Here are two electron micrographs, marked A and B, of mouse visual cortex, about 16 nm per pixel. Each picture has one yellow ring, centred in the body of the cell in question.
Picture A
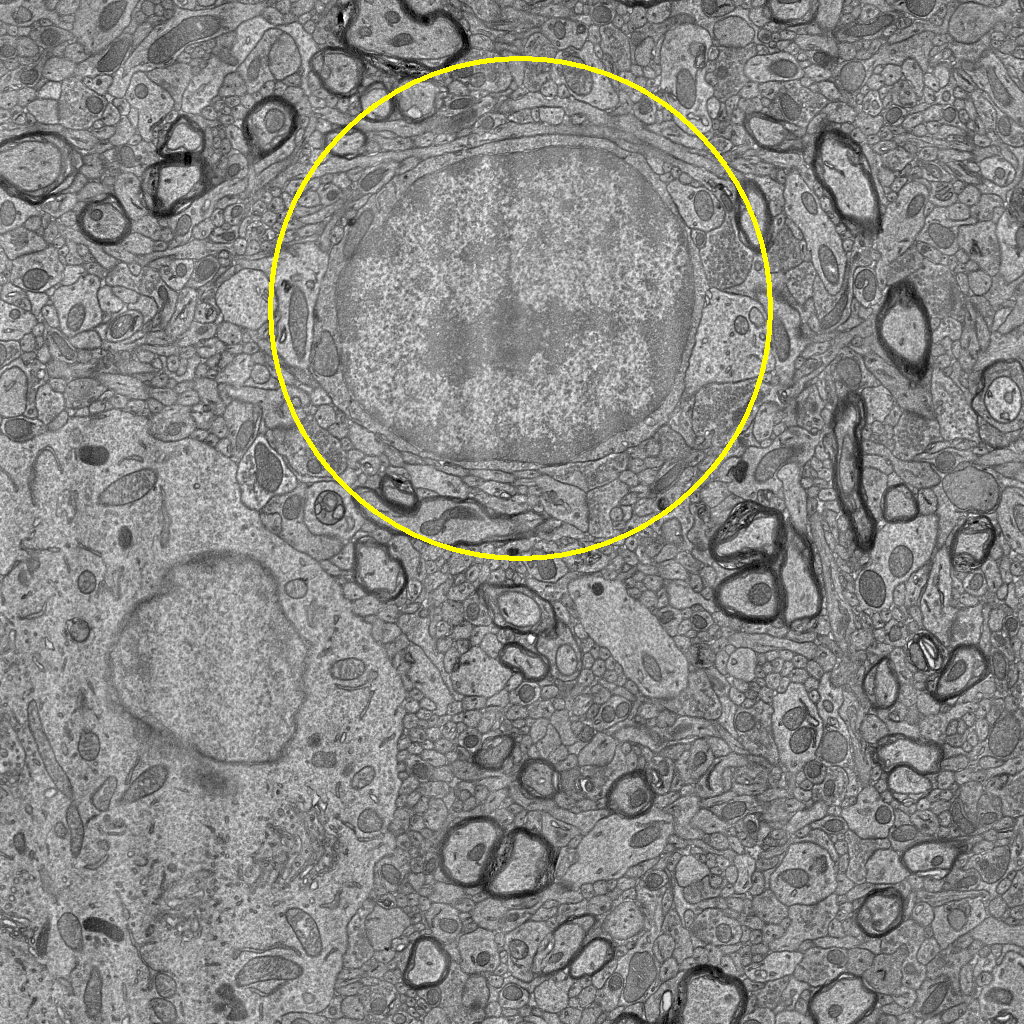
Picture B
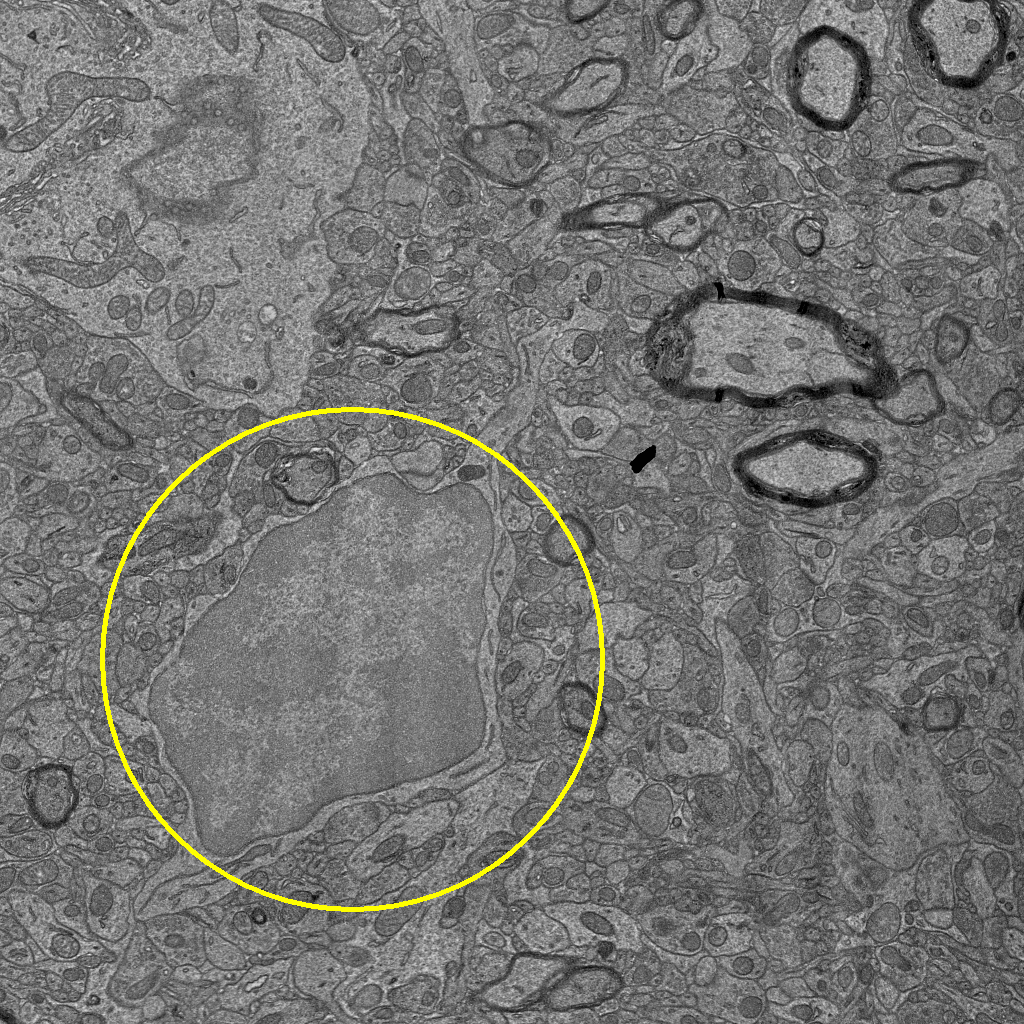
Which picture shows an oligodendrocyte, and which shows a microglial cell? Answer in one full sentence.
It is picture A that shows an oligodendrocyte, and picture B that shows a microglial cell.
